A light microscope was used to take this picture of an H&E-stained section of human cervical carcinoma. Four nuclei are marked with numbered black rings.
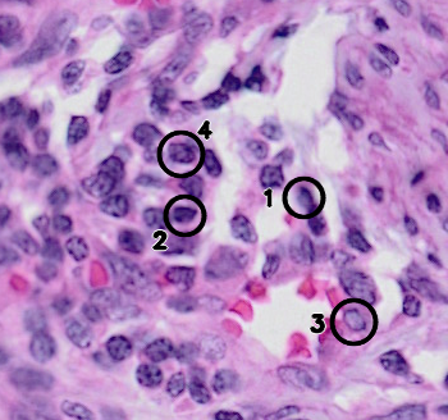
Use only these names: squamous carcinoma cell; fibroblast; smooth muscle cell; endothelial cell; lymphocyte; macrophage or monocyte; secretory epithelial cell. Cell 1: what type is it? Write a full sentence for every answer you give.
In this section, the cell numbered 1 is a lymphocyte.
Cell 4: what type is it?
The cell that carries the label 4 is a lymphocyte.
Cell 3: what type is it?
What the number 3 marks in this field is an endothelial cell.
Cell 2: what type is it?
The cell that is numbered 2 is a lymphocyte.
